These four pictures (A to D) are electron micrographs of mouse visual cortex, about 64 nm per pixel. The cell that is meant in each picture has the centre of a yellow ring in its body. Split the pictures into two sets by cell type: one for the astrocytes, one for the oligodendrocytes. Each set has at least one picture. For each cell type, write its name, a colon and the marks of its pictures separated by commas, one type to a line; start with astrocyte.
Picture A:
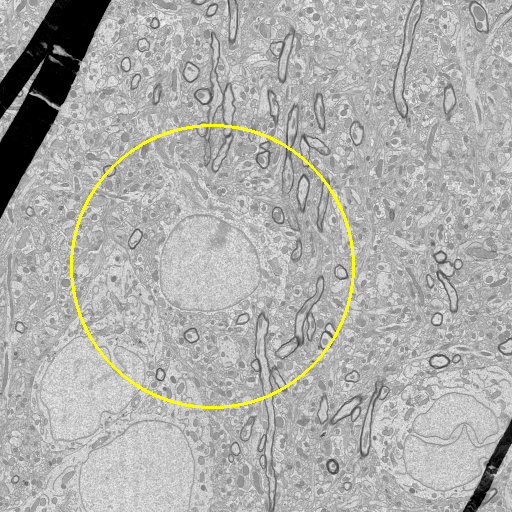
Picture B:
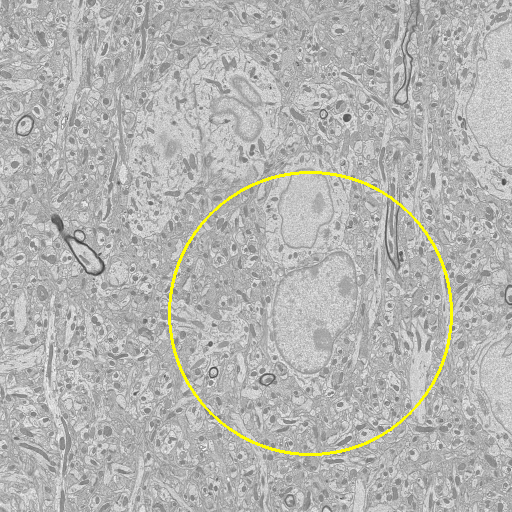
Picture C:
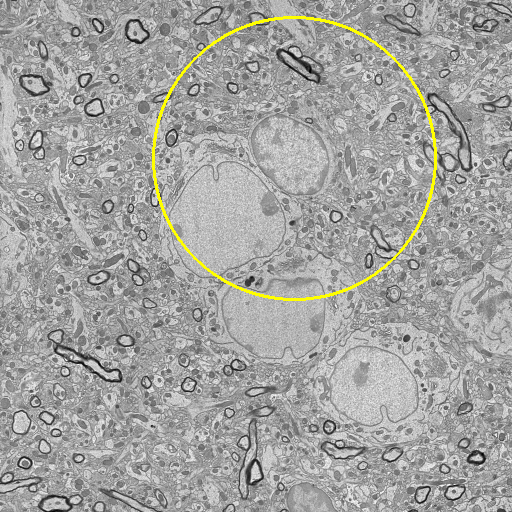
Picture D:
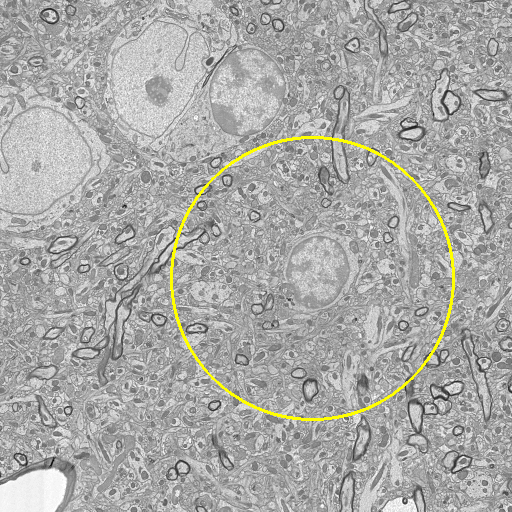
astrocyte: A, B
oligodendrocyte: C, D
